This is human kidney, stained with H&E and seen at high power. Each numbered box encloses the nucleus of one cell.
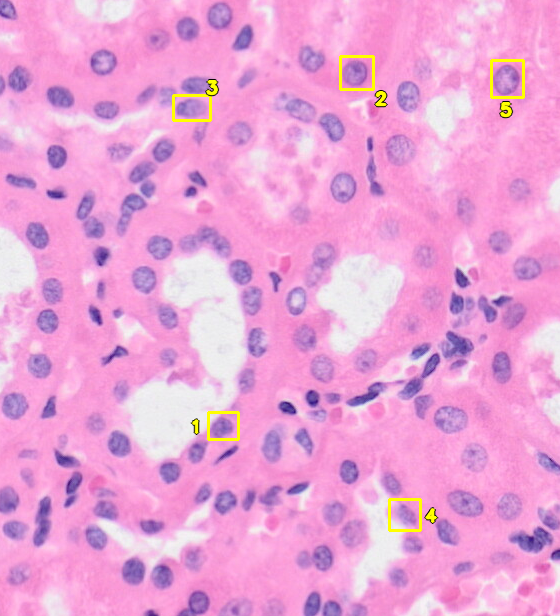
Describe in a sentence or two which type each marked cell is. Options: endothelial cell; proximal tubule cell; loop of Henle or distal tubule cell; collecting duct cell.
Cells 1 and 4 are loop of Henle or distal tubule cells. Cells 2 and 5 are proximal tubule cells. Cell 3 is a collecting duct cell.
